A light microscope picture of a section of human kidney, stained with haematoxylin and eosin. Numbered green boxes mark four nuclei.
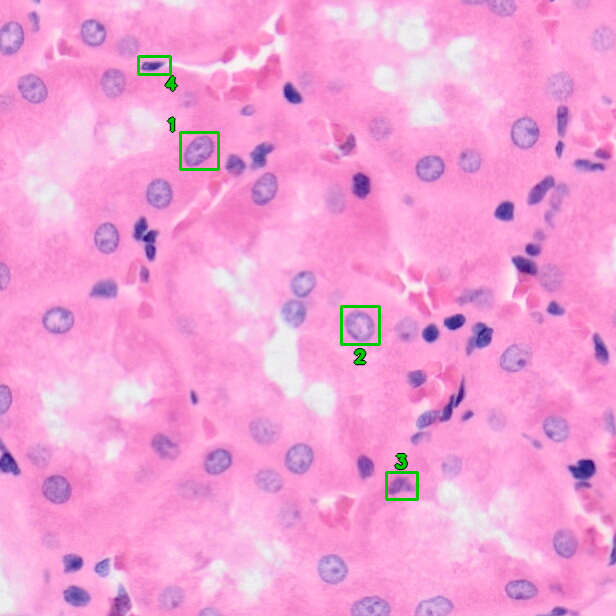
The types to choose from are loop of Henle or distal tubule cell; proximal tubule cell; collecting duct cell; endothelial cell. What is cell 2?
proximal tubule cell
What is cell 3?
proximal tubule cell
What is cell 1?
proximal tubule cell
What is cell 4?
endothelial cell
